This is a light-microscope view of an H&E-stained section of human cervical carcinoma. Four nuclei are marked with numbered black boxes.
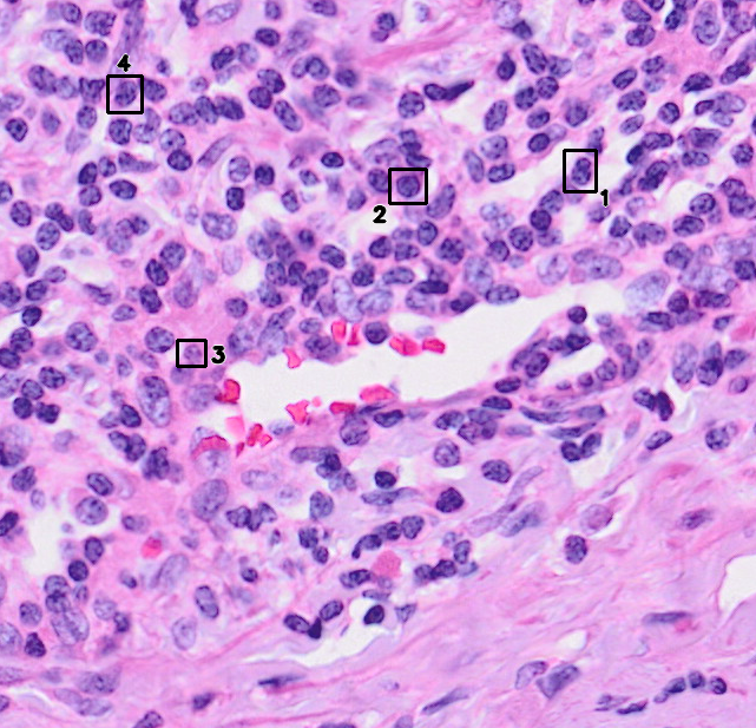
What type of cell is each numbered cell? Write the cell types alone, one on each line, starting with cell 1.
lymphocyte
lymphocyte
endothelial cell
lymphocyte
